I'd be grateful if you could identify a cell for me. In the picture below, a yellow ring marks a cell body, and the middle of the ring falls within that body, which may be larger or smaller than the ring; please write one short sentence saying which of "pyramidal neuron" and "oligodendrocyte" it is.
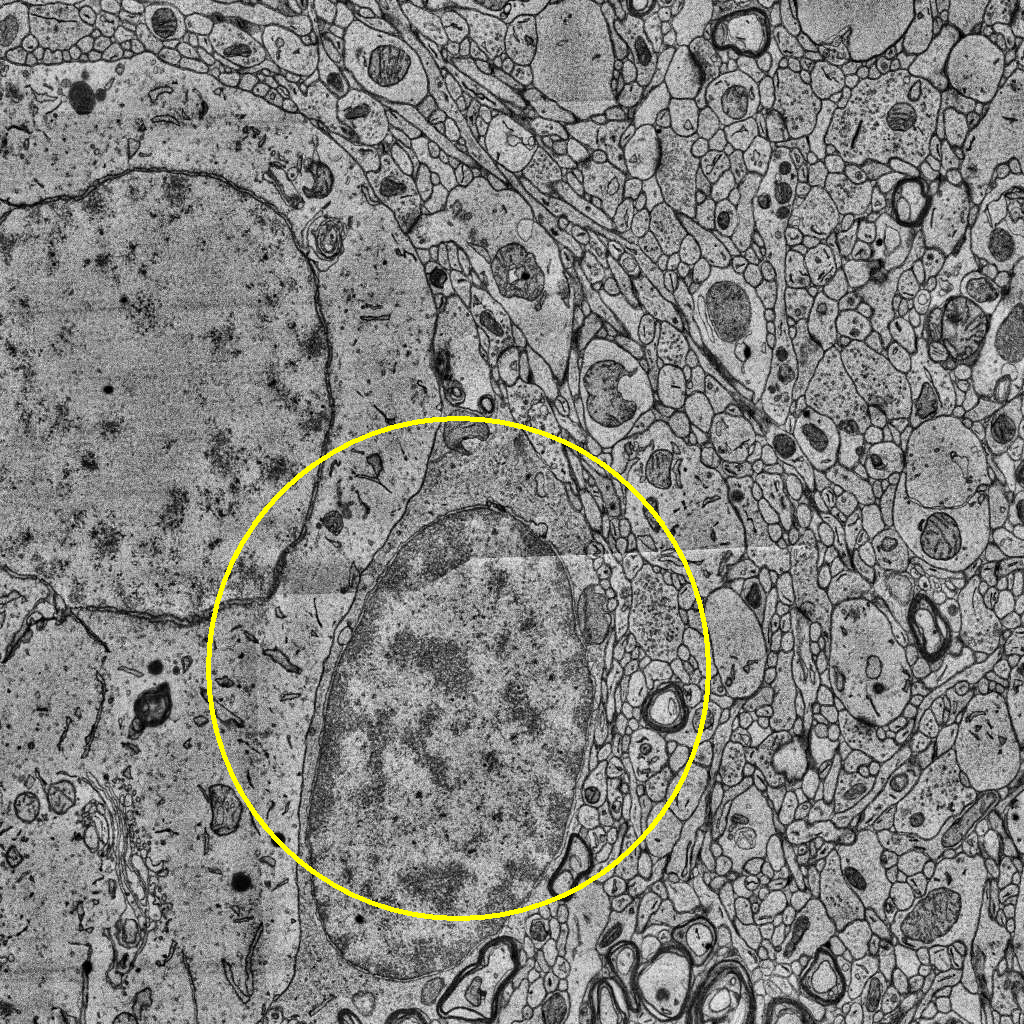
The cell under the ring's centre is an oligodendrocyte.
